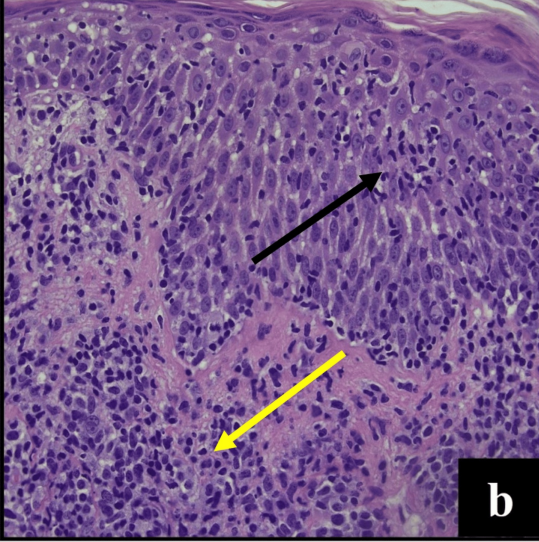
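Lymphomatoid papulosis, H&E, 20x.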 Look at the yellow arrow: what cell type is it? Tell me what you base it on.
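The arrow points into a dense sheet of cells in the dermis below the epidermis. The cells have rounded to irregular dark nuclei. The cells are packed closely between strands of pink collagen.
Medium- to large-sized atypical lymphocytes.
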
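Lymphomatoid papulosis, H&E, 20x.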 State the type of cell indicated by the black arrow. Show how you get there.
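Small dark nuclei lie scattered among the epidermal keratinocytes. Many of these small cells sit within clear halos. These nuclei are smaller and darker than the surrounding keratinocyte nuclei. That points to this answer: epidermotropic small atypical lymphocytes.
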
